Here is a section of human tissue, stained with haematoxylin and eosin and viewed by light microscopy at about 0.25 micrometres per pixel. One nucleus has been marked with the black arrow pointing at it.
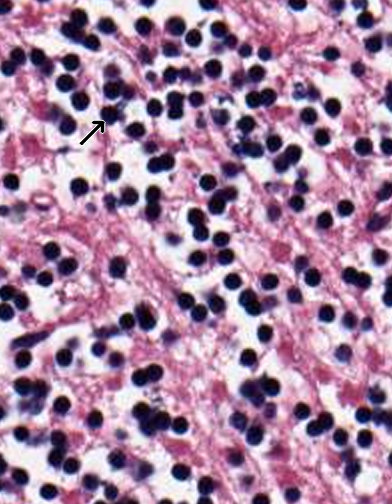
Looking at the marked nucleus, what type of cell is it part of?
cerebellar granule cell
